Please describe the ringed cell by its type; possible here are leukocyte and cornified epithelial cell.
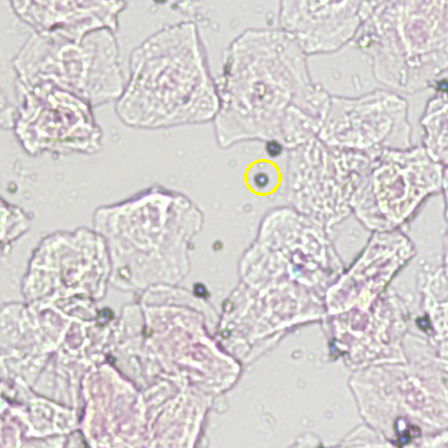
The yellow ring marks a leukocyte.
